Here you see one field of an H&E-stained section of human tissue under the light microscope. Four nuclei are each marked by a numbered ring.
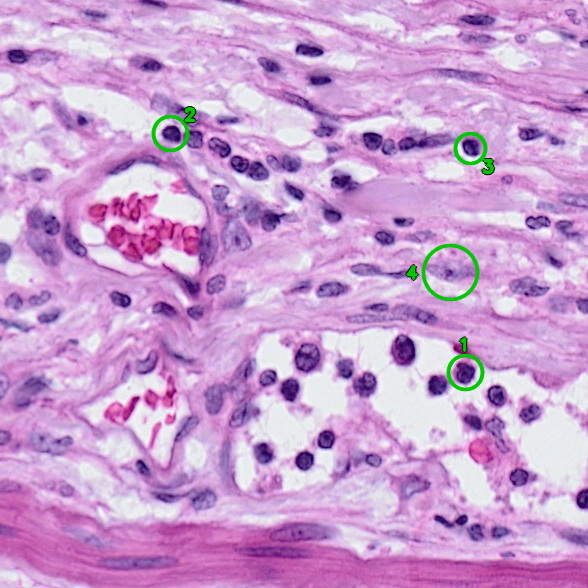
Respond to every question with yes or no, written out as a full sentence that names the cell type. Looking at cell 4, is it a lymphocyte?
No, the cell carrying number 4 is a fibroblast, not a lymphocyte.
